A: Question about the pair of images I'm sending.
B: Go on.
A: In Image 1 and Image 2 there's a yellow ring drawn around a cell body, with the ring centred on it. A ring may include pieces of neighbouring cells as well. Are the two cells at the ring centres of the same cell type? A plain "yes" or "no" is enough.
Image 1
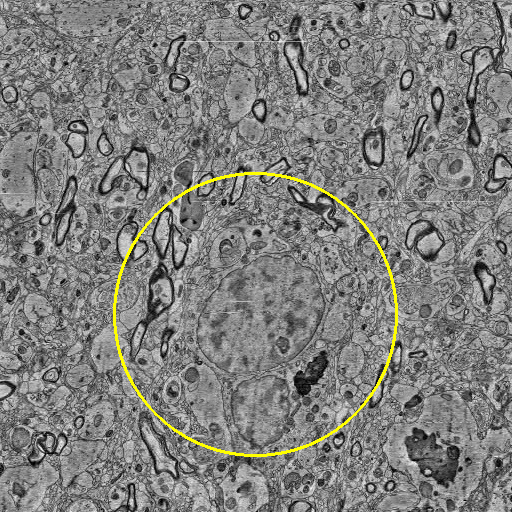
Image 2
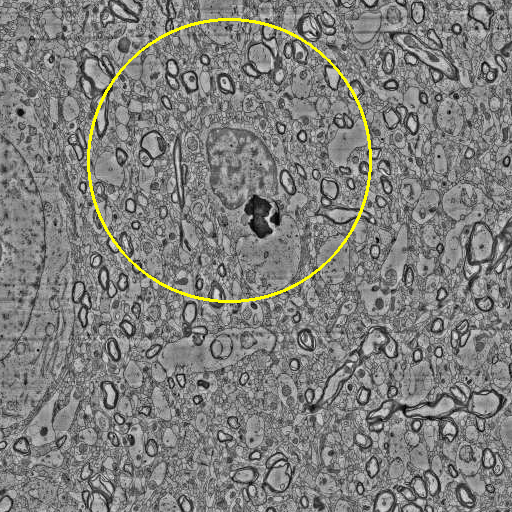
yes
